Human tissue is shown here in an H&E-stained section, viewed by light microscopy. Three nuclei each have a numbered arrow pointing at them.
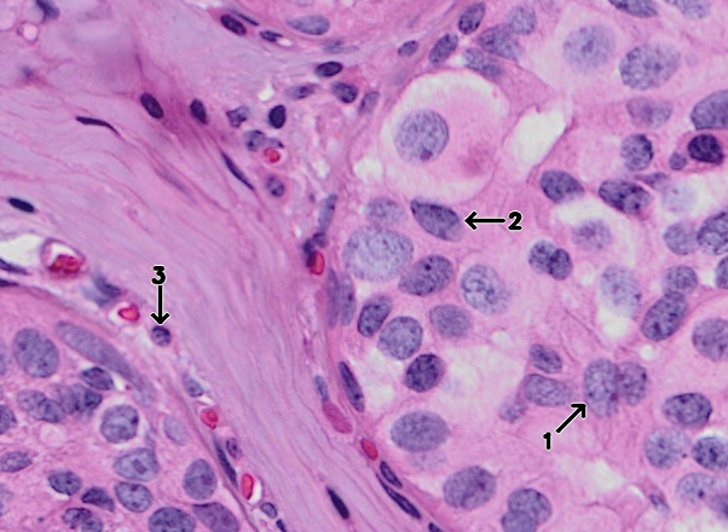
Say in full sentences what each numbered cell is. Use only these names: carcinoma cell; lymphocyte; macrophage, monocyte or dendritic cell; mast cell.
Cell 1 is a carcinoma cell, cell 2 is a carcinoma cell and cell 3 is a mast cell.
